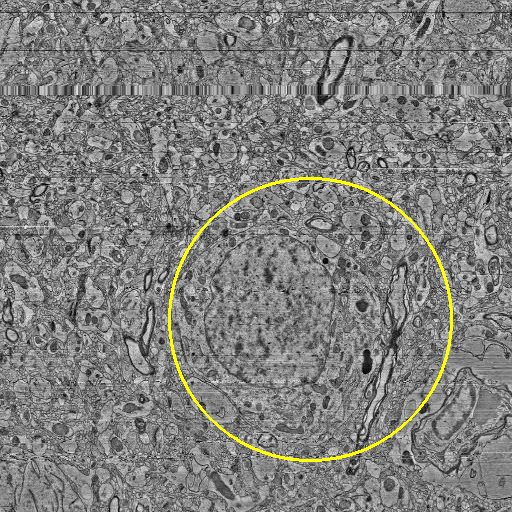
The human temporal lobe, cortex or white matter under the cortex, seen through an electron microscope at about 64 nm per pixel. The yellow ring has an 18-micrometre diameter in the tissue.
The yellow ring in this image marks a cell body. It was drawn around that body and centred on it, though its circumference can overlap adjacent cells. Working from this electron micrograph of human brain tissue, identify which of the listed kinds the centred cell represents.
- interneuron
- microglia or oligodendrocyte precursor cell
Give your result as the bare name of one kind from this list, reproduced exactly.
interneuron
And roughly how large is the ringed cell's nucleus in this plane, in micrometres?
The nucleus works out at approximately 11 by 9 micrometres in this plane.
